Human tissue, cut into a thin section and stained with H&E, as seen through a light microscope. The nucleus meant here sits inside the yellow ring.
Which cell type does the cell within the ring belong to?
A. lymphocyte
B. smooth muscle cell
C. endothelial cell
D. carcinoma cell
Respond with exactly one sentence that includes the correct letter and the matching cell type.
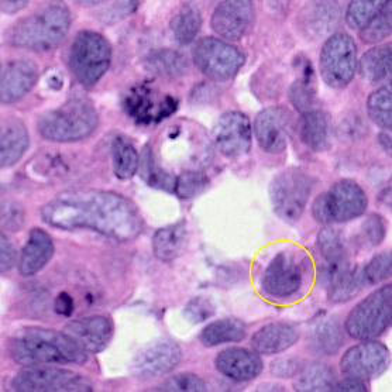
It is correct to say that the cell within the ring is a carcinoma cell, as option D does.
